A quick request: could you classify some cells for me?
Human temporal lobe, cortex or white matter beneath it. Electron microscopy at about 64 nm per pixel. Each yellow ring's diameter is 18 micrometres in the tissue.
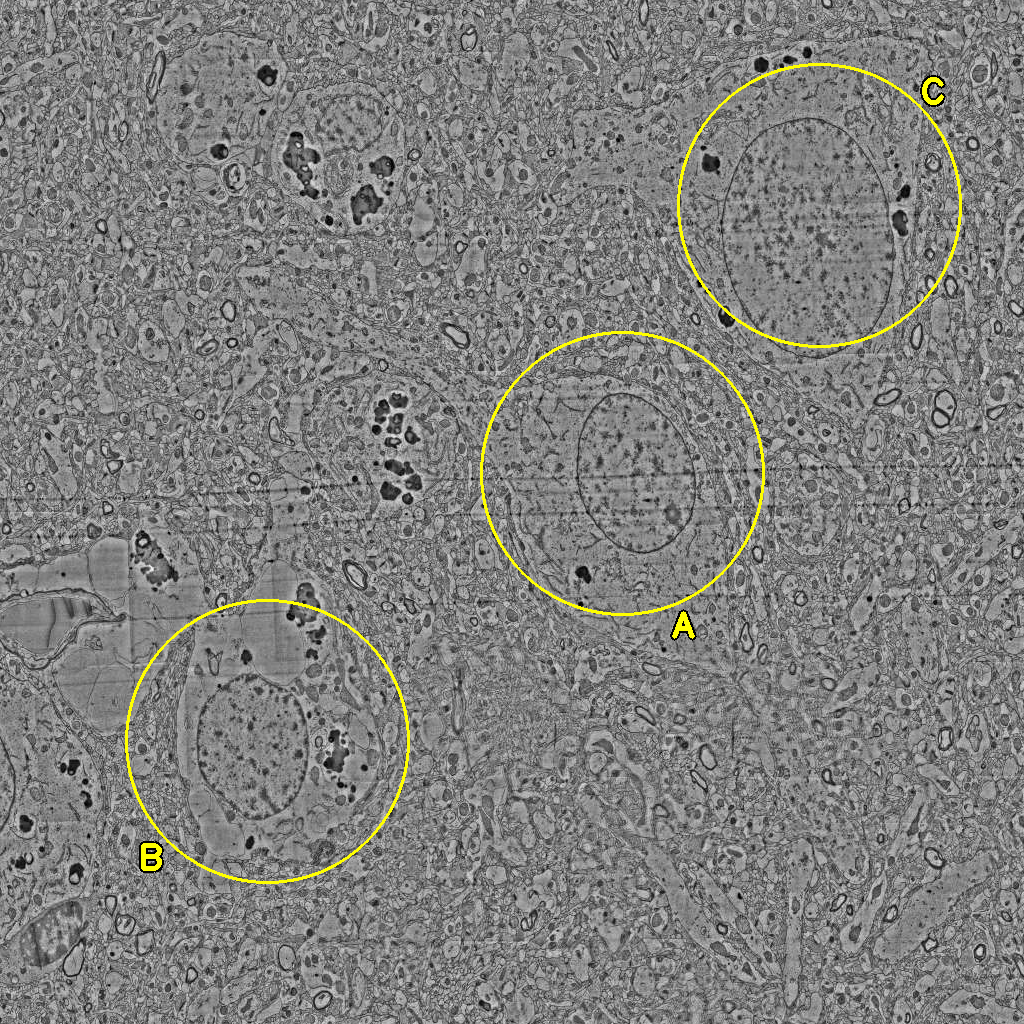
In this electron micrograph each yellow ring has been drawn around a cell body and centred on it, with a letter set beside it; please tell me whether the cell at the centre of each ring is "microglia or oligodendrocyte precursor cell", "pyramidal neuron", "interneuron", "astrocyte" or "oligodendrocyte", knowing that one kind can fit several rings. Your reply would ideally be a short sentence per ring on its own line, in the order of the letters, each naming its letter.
Ring A has a pyramidal neuron at its centre.
Ring B has an astrocyte at its centre.
Ring C has a pyramidal neuron at its centre.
